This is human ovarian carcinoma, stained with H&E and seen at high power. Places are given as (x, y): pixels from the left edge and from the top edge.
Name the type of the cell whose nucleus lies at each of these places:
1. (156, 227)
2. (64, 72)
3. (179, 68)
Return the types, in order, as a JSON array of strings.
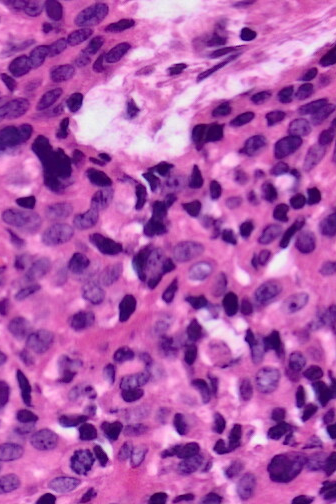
["carcinoma cell", "carcinoma cell", "fibroblast"]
